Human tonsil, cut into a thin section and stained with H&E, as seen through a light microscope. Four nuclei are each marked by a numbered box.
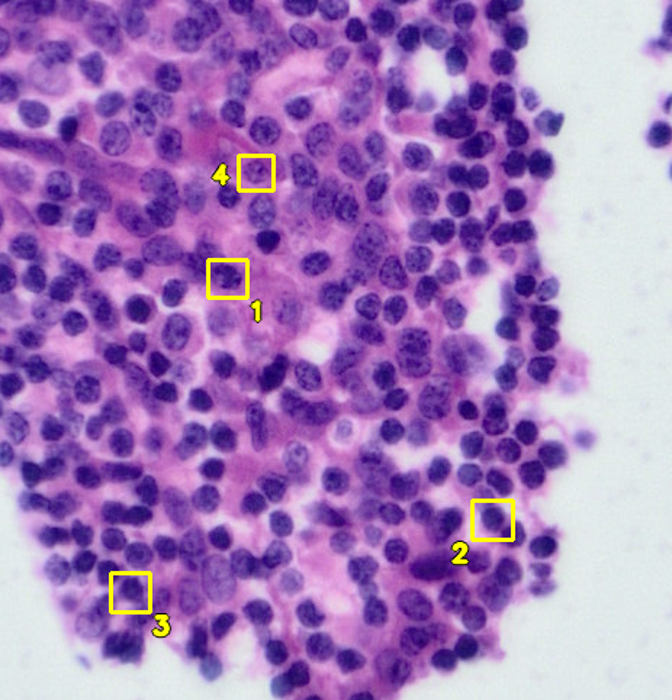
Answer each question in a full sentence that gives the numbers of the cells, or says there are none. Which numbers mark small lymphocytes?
As for the cells numbered 2 and 3, they are small lymphocytes.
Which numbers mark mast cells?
The numbered cells, taken together, include no mast cells.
